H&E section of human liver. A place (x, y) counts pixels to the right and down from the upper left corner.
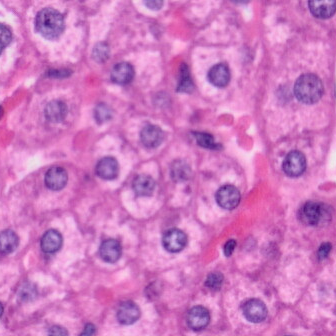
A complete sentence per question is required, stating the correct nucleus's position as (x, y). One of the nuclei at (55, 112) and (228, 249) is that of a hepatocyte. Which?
The nucleus situated at (55, 112) is the one belonging to a hepatocyte.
